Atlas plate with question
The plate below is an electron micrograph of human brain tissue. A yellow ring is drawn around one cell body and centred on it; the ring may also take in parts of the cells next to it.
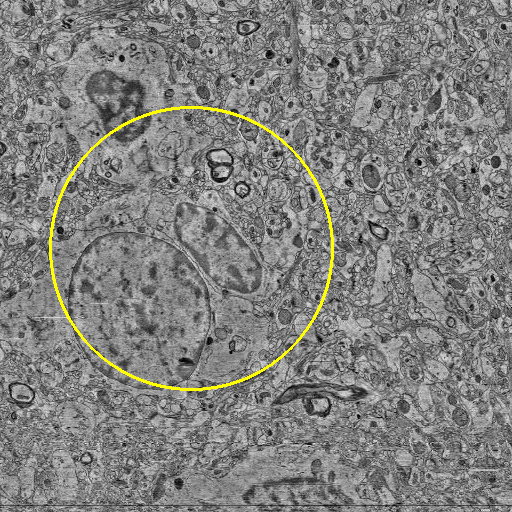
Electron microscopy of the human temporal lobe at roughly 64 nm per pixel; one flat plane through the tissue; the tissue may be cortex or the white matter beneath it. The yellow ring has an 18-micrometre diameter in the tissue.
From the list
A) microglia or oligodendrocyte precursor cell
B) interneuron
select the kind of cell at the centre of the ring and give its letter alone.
A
